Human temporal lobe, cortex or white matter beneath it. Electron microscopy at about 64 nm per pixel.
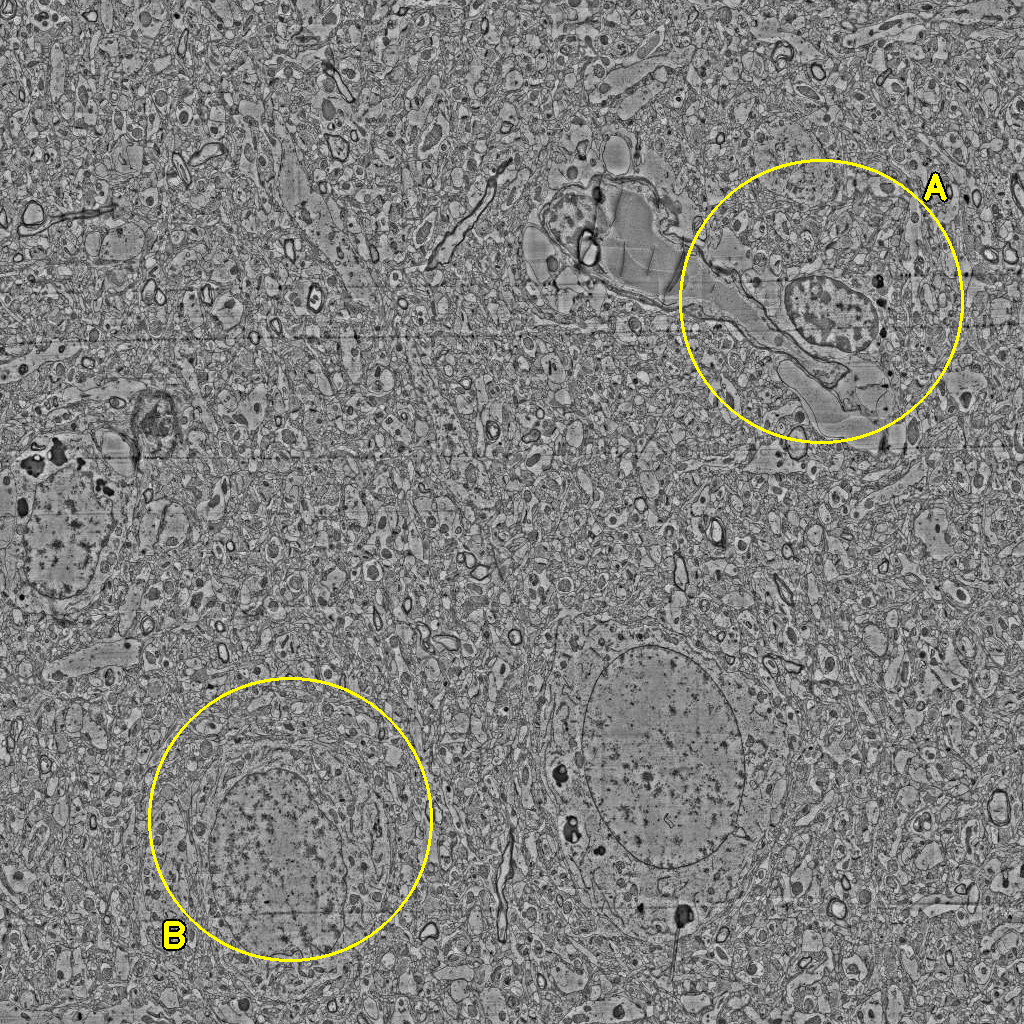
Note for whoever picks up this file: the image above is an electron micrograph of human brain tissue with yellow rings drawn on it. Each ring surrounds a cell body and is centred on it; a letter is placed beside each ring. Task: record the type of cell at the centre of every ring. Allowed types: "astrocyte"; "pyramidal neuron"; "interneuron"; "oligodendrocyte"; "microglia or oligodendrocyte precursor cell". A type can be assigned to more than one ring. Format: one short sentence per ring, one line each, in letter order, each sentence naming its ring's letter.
The ring marked A is centred on a microglial cell or oligodendrocyte precursor cell.
The ring marked B is centred on an interneuron.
